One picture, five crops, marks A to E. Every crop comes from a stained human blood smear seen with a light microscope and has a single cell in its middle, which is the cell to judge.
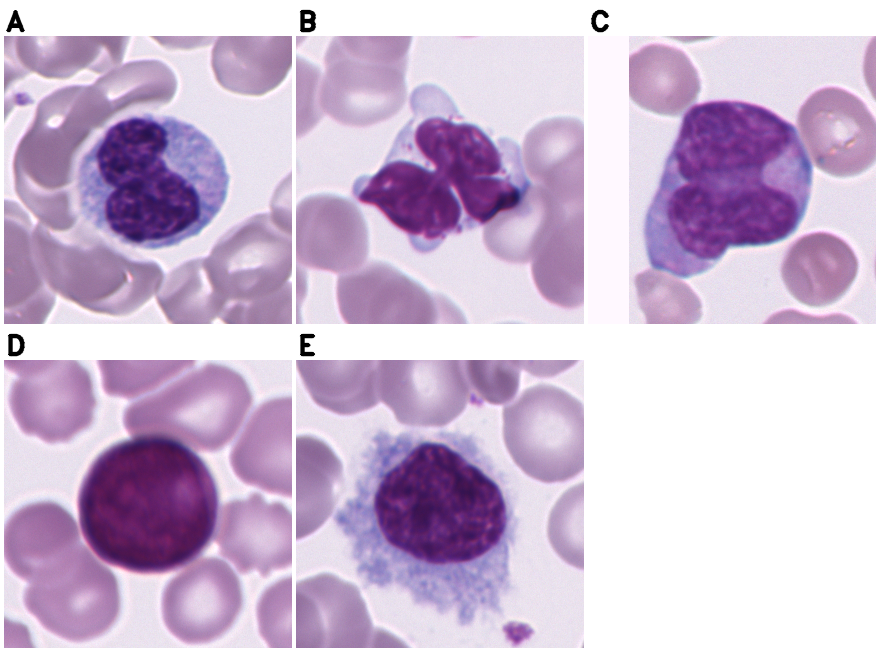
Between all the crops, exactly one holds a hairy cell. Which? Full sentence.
It is crop E, not any other, that shows a hairy cell.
